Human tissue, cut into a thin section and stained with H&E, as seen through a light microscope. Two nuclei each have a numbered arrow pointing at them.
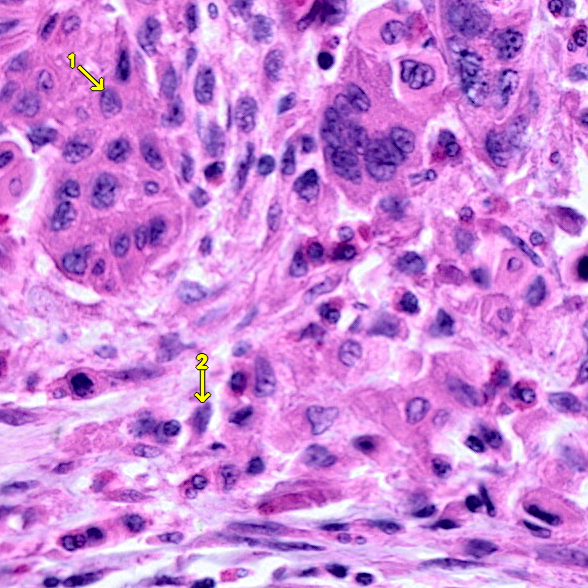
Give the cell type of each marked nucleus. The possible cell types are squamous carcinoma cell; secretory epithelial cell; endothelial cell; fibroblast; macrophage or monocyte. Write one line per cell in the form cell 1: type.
cell 1: squamous carcinoma cell
cell 2: macrophage or monocyte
